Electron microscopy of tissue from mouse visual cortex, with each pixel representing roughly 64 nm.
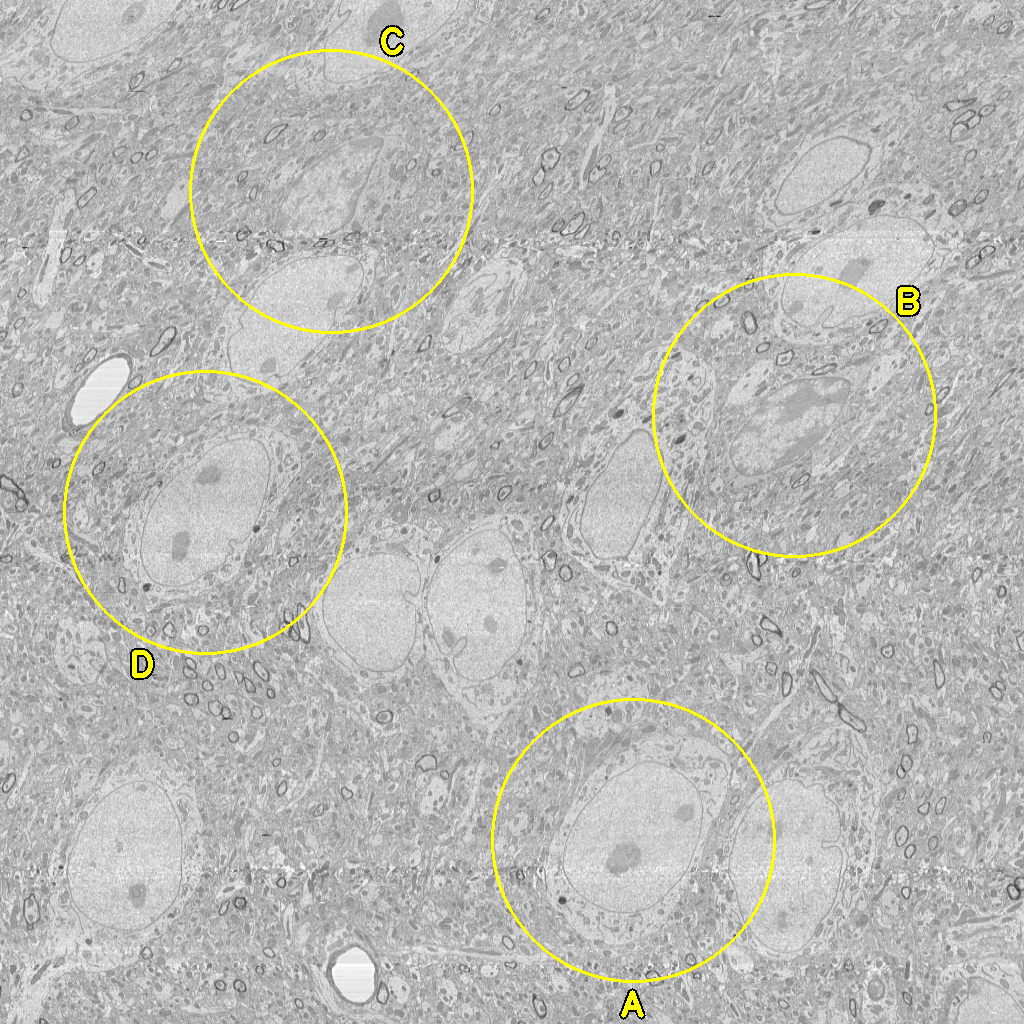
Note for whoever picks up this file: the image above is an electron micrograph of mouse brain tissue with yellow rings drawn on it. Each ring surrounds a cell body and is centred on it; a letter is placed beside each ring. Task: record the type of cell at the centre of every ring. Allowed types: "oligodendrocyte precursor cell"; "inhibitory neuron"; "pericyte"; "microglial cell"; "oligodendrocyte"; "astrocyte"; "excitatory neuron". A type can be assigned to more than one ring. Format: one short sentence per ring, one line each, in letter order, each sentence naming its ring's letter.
The ring marked A is centred on an excitatory neuron.
The ring marked B is centred on an oligodendrocyte.
The ring marked C is centred on an oligodendrocyte.
The ring marked D is centred on an excitatory neuron.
